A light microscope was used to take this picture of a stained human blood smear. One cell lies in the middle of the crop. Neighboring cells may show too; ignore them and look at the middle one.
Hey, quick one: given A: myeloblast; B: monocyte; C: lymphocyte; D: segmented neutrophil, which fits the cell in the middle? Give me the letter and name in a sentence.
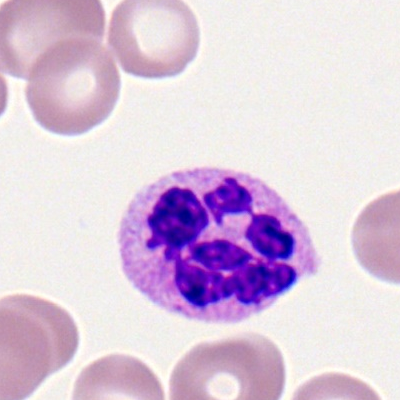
Correctly, option D names the cell in the middle a segmented neutrophil.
